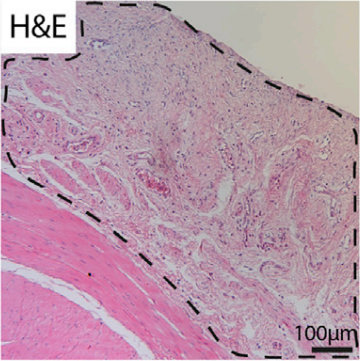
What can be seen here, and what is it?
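The stroma is a loose network of pink fibres with scattered purple nuclei and small vessel-like spaces. Beneath it runs a band of denser, more intensely pink tissue with elongated fibres. No layered epithelial lining remains on the free surface.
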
